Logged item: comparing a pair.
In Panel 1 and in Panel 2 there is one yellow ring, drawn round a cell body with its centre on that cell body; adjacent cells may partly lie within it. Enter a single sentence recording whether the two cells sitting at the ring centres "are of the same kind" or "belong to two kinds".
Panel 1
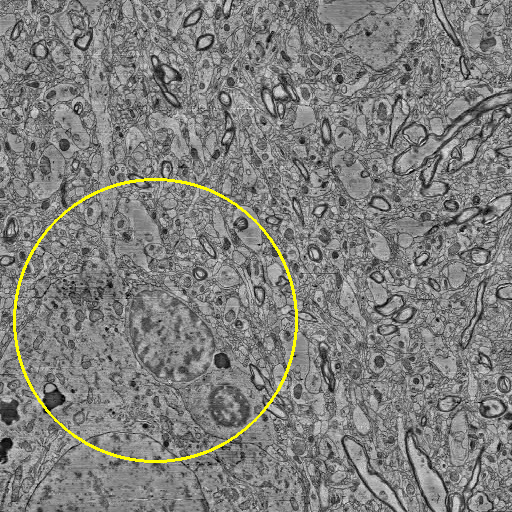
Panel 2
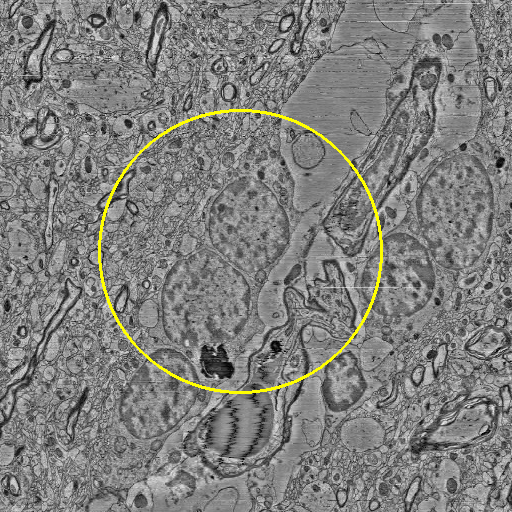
Logged: the cells centred in the rings of Panel 1 and Panel 2 are of the same kind.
